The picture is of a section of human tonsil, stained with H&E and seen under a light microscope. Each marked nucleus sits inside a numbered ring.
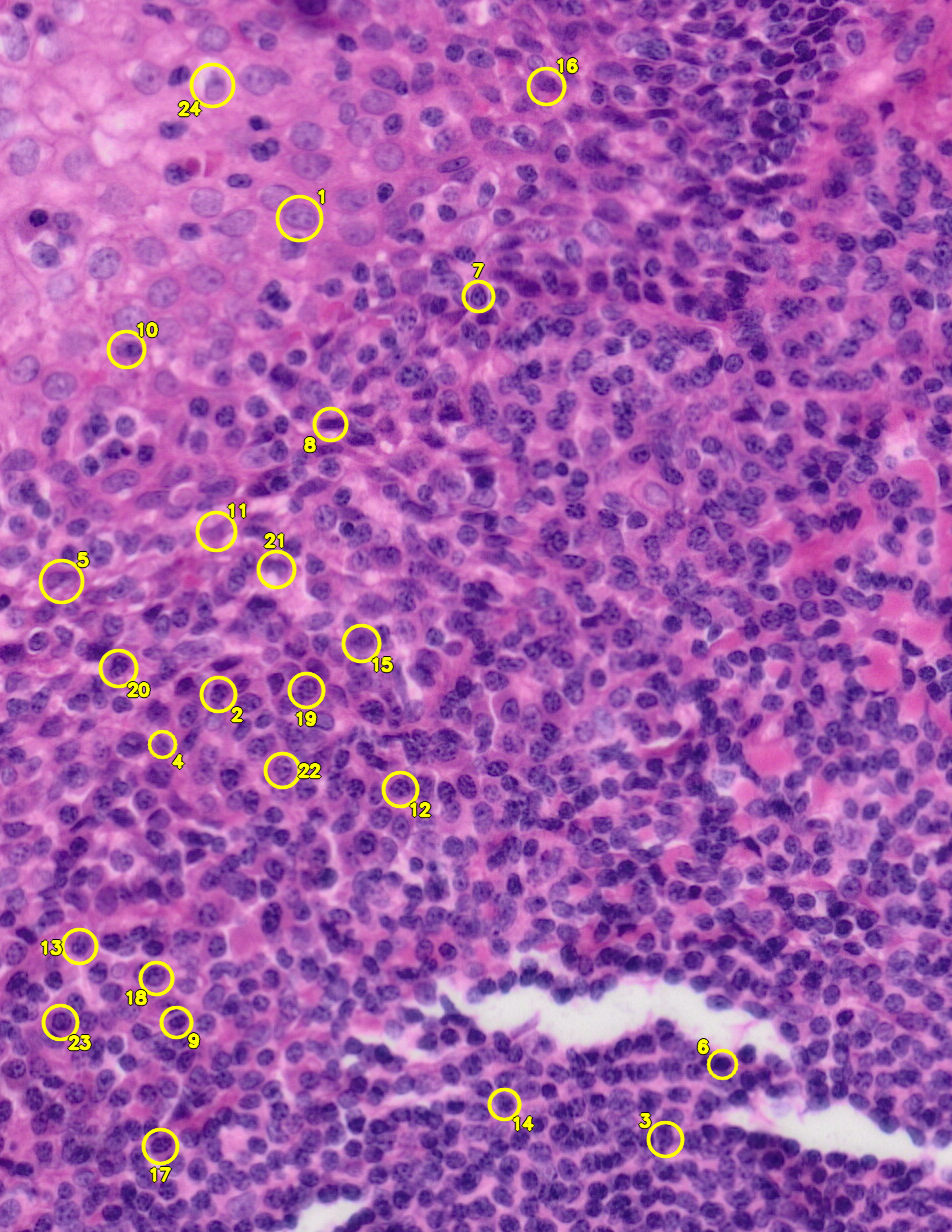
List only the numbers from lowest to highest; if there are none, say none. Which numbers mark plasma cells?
2, 7, 9, 12, 13, 17, 18, 19, 20, 22, 23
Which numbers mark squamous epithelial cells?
1, 4, 5, 8, 10, 11, 15, 16, 21, 24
